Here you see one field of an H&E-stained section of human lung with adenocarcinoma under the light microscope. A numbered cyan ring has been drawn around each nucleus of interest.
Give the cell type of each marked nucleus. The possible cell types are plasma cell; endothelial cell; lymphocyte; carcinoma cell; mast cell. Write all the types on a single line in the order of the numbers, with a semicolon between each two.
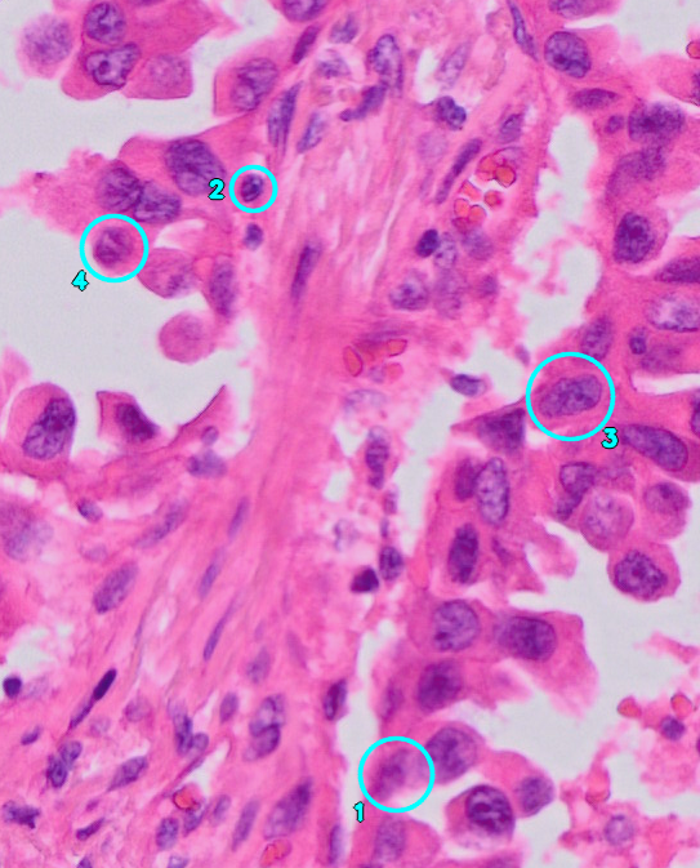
carcinoma cell; lymphocyte; carcinoma cell; carcinoma cell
